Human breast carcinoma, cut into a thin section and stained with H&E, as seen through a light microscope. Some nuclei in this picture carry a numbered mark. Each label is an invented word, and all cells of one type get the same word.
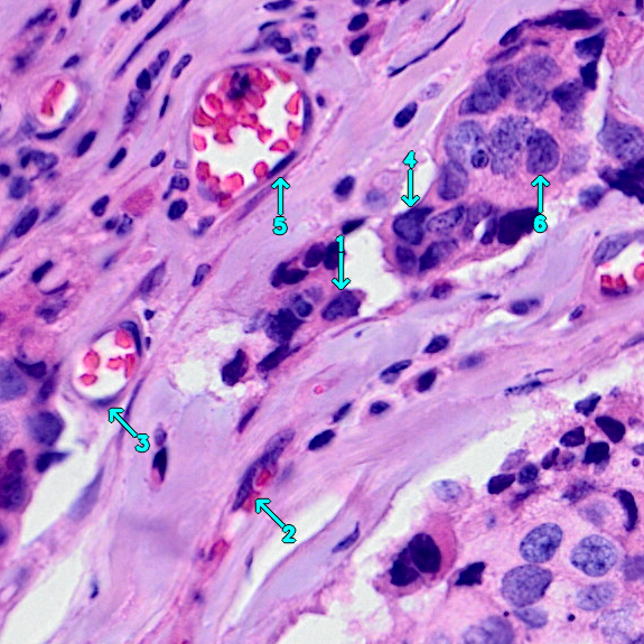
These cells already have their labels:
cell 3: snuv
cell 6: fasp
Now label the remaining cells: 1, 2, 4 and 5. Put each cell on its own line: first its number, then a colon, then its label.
1: fasp
2: snuv
4: fasp
5: snuv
